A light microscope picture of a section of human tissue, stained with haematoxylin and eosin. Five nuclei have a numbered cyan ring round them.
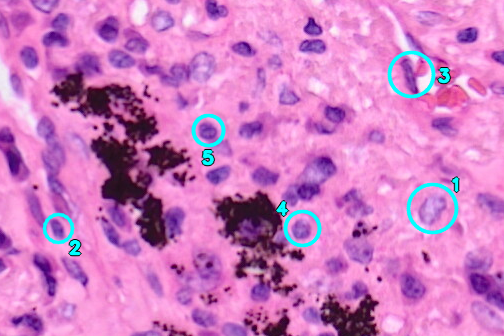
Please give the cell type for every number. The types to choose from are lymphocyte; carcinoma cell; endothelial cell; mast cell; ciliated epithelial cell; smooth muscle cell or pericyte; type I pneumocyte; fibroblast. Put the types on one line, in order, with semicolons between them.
fibroblast; lymphocyte; endothelial cell; lymphocyte; lymphocyte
